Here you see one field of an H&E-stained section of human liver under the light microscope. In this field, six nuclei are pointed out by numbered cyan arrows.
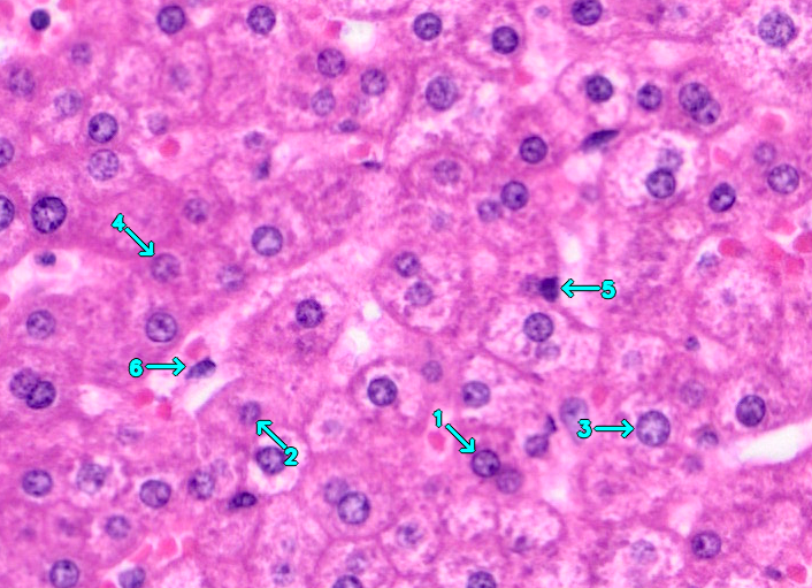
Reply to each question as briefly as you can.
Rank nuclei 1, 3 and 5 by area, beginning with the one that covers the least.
5, 1, 3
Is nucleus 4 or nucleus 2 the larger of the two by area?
4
